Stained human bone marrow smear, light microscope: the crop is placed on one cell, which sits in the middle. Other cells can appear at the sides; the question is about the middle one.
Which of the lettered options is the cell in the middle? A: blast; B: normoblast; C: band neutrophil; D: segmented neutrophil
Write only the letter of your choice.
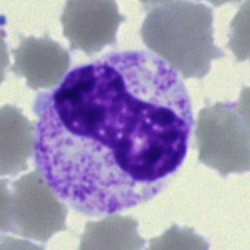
C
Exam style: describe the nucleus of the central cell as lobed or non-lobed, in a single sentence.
Kindly observe that the nucleus forms two or more lobes.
